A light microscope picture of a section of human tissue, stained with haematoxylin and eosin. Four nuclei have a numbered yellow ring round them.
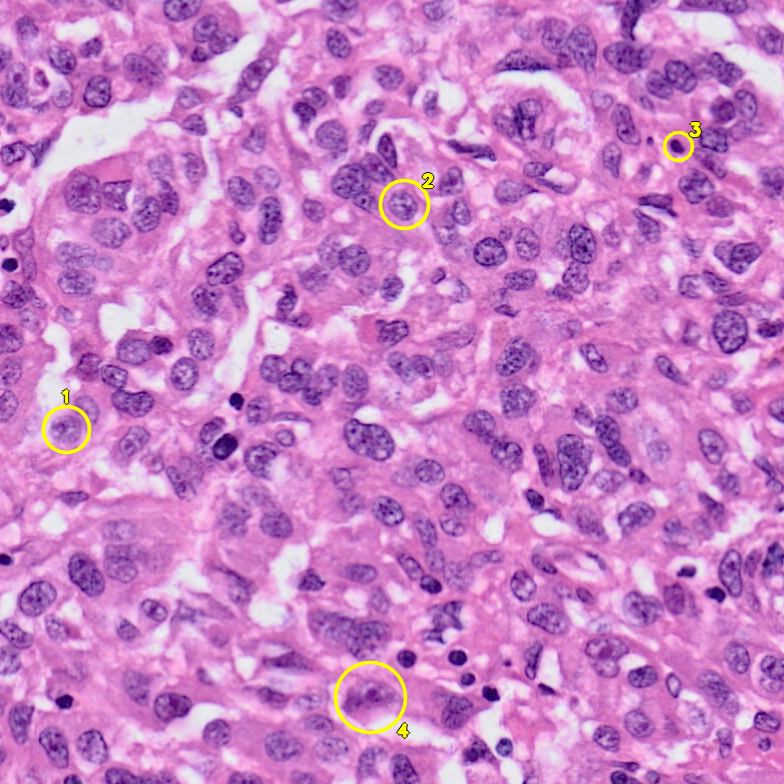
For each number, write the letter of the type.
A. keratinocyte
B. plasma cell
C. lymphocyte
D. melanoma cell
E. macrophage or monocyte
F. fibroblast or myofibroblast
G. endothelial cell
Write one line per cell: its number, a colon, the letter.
1: D
2: D
3: C
4: D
